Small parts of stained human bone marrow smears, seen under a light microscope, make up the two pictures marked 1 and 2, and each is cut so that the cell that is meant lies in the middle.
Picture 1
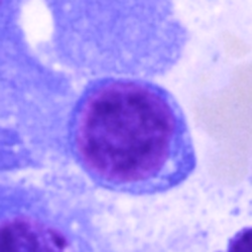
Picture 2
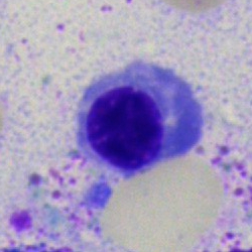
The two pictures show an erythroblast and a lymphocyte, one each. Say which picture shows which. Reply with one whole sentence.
Picture 1 shows a lymphocyte and picture 2 shows an erythroblast.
